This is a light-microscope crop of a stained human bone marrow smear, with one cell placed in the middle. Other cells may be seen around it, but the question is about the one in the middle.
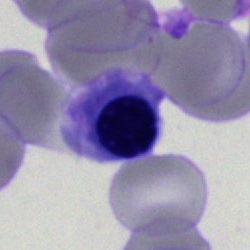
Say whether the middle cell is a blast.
no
